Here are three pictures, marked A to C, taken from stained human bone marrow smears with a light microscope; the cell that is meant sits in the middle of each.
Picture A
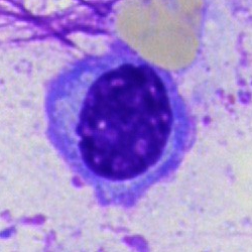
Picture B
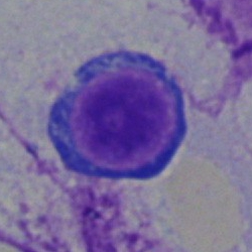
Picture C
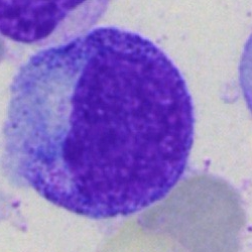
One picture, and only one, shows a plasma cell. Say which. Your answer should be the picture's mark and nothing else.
A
